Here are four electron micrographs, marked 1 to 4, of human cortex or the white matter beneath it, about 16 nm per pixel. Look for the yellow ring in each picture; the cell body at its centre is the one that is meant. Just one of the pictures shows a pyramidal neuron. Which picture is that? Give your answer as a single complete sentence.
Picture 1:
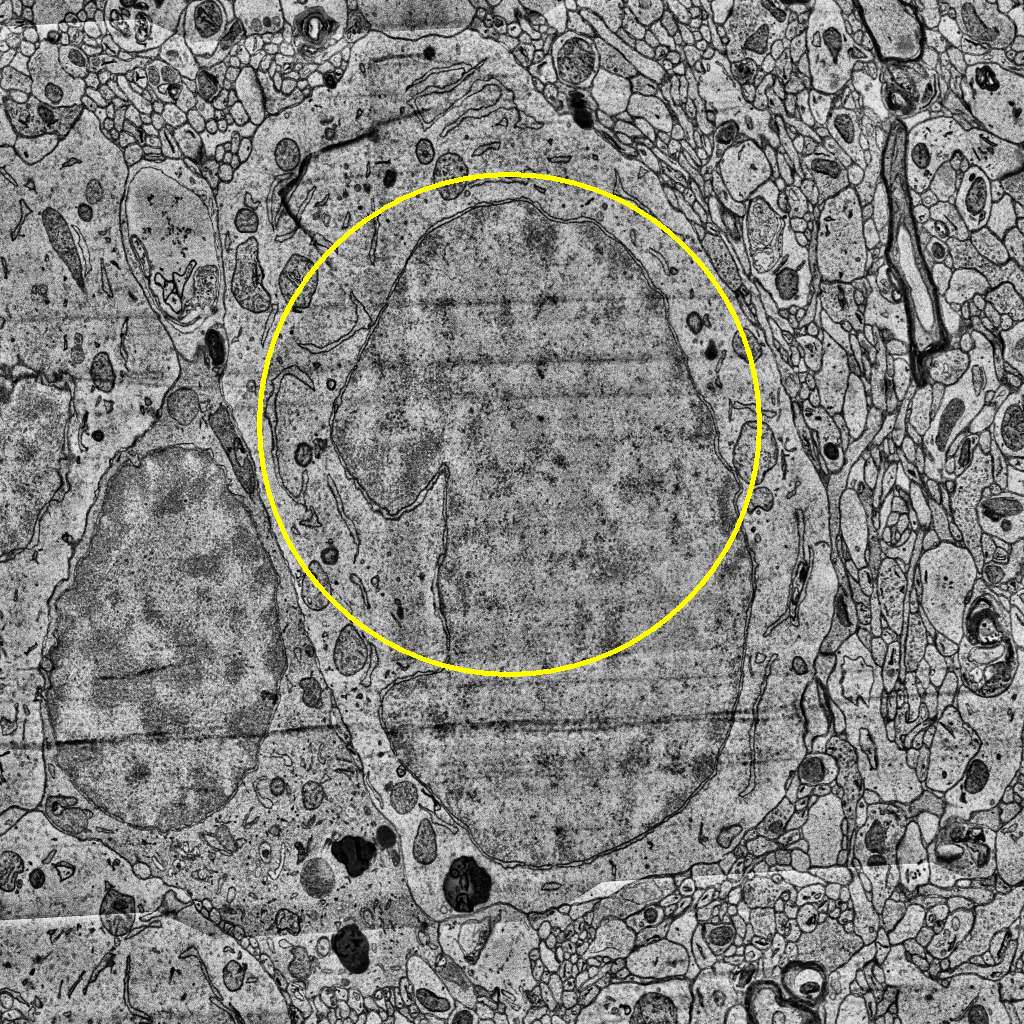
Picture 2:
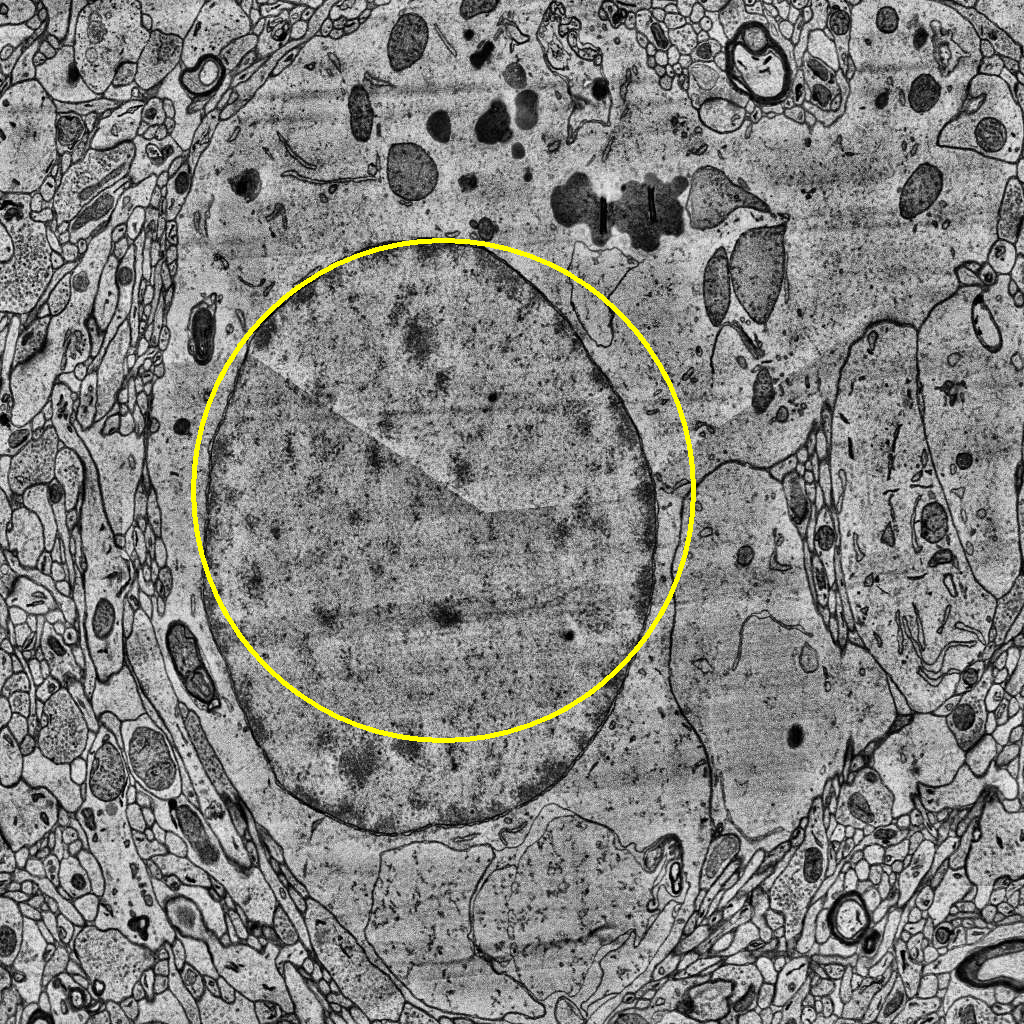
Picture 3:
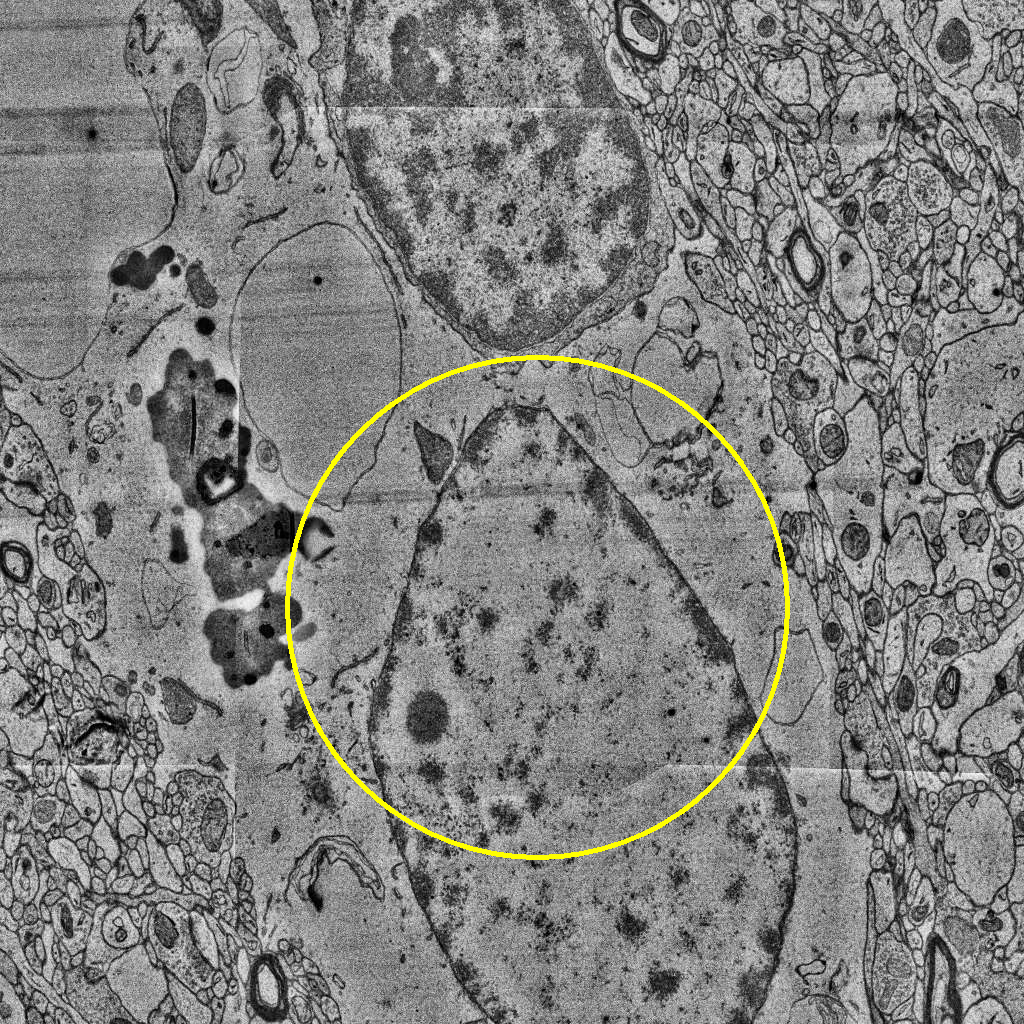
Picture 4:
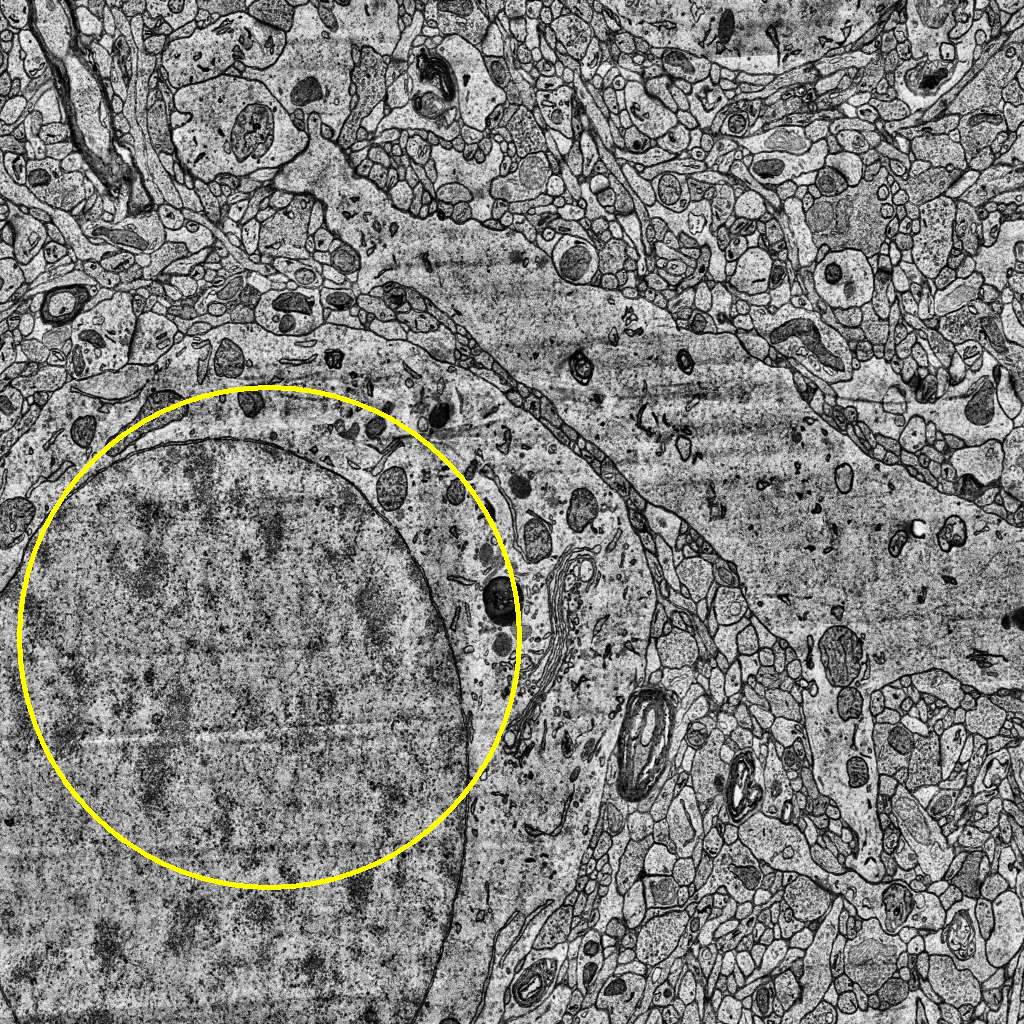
It is picture 4 that shows the pyramidal neuron.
